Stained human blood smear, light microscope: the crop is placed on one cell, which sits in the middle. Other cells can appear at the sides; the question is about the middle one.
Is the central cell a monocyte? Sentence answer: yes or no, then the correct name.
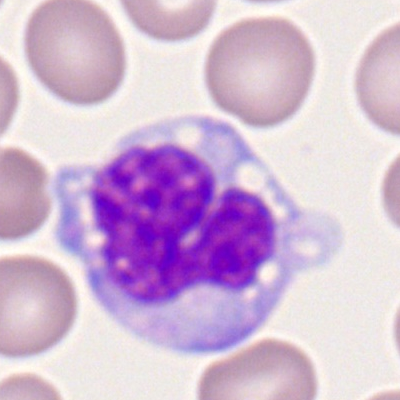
Yes, the cell at the center of the crop is a monocyte.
